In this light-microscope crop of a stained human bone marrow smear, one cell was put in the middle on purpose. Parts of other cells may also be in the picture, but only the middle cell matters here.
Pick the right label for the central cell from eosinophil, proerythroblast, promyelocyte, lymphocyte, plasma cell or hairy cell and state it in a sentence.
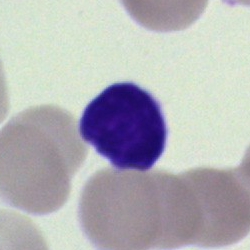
Here the centrally located cell is a lymphocyte.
